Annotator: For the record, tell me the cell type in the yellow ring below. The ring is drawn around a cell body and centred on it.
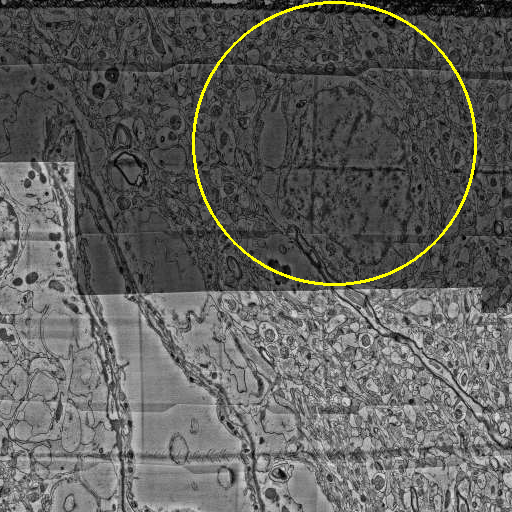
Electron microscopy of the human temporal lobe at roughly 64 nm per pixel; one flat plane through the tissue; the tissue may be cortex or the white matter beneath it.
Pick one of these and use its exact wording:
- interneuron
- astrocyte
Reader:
interneuron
